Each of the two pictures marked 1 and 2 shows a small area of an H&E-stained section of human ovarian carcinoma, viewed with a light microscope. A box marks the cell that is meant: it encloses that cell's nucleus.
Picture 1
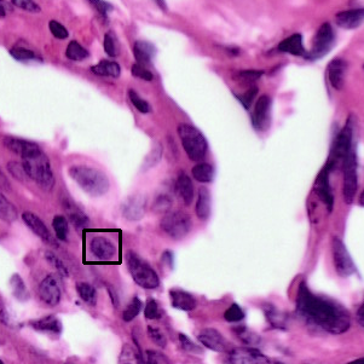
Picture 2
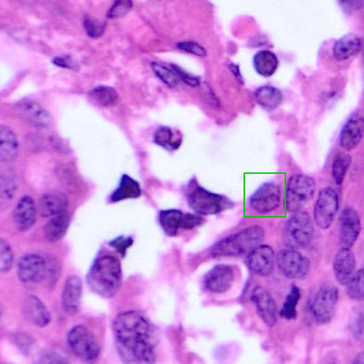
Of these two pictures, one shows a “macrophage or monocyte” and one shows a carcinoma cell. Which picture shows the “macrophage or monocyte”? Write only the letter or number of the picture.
1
